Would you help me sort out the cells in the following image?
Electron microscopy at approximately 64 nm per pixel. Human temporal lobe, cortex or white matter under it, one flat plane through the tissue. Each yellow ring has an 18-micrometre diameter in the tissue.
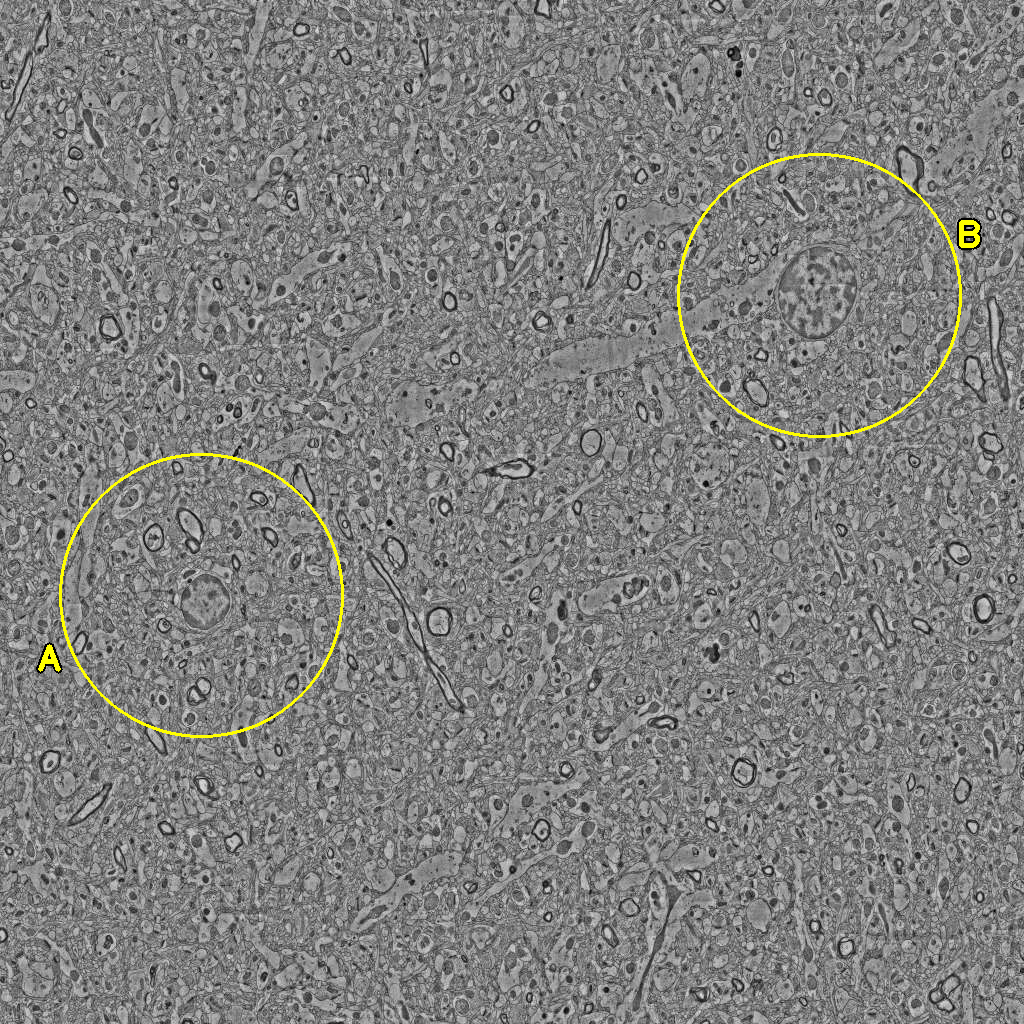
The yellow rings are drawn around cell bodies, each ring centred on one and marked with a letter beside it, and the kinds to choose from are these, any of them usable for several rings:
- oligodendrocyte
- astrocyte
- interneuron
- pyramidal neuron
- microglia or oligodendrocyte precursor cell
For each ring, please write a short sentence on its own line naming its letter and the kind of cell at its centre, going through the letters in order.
Ring A is centred on the cell body of a microglial cell or oligodendrocyte precursor cell.
Ring B is centred on the cell body of an oligodendrocyte.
